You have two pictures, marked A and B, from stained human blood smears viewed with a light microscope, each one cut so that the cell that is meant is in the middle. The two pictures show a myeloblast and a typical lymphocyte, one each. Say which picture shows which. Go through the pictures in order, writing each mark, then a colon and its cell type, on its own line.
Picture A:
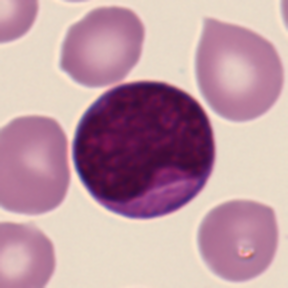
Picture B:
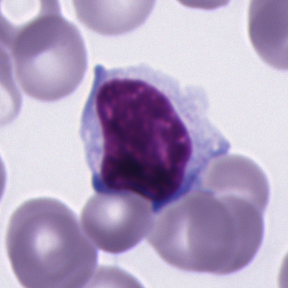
A: myeloblast
B: typical lymphocyte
